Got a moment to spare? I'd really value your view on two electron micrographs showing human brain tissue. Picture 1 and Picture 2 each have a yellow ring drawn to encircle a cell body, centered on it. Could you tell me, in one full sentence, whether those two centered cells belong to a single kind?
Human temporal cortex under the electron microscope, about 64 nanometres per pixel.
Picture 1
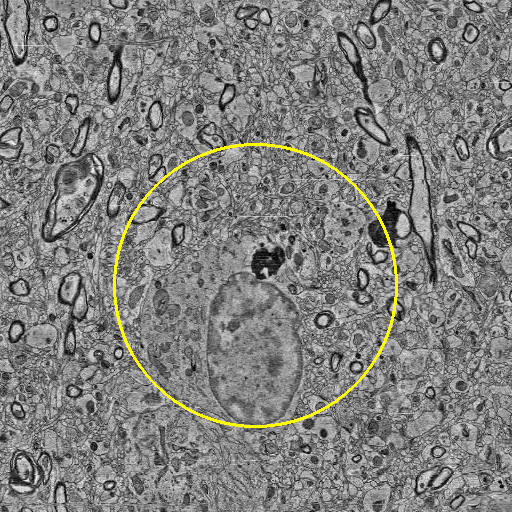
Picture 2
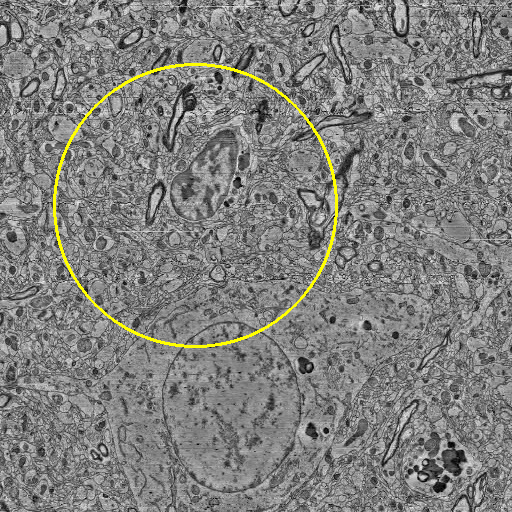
Yes, the two centered cells in Picture 1 and Picture 2 are of a single kind.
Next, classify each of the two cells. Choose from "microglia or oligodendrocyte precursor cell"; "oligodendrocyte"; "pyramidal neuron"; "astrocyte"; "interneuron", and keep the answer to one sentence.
In each of the two pictures, the ringed cell is a microglial cell or oligodendrocyte precursor cell.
